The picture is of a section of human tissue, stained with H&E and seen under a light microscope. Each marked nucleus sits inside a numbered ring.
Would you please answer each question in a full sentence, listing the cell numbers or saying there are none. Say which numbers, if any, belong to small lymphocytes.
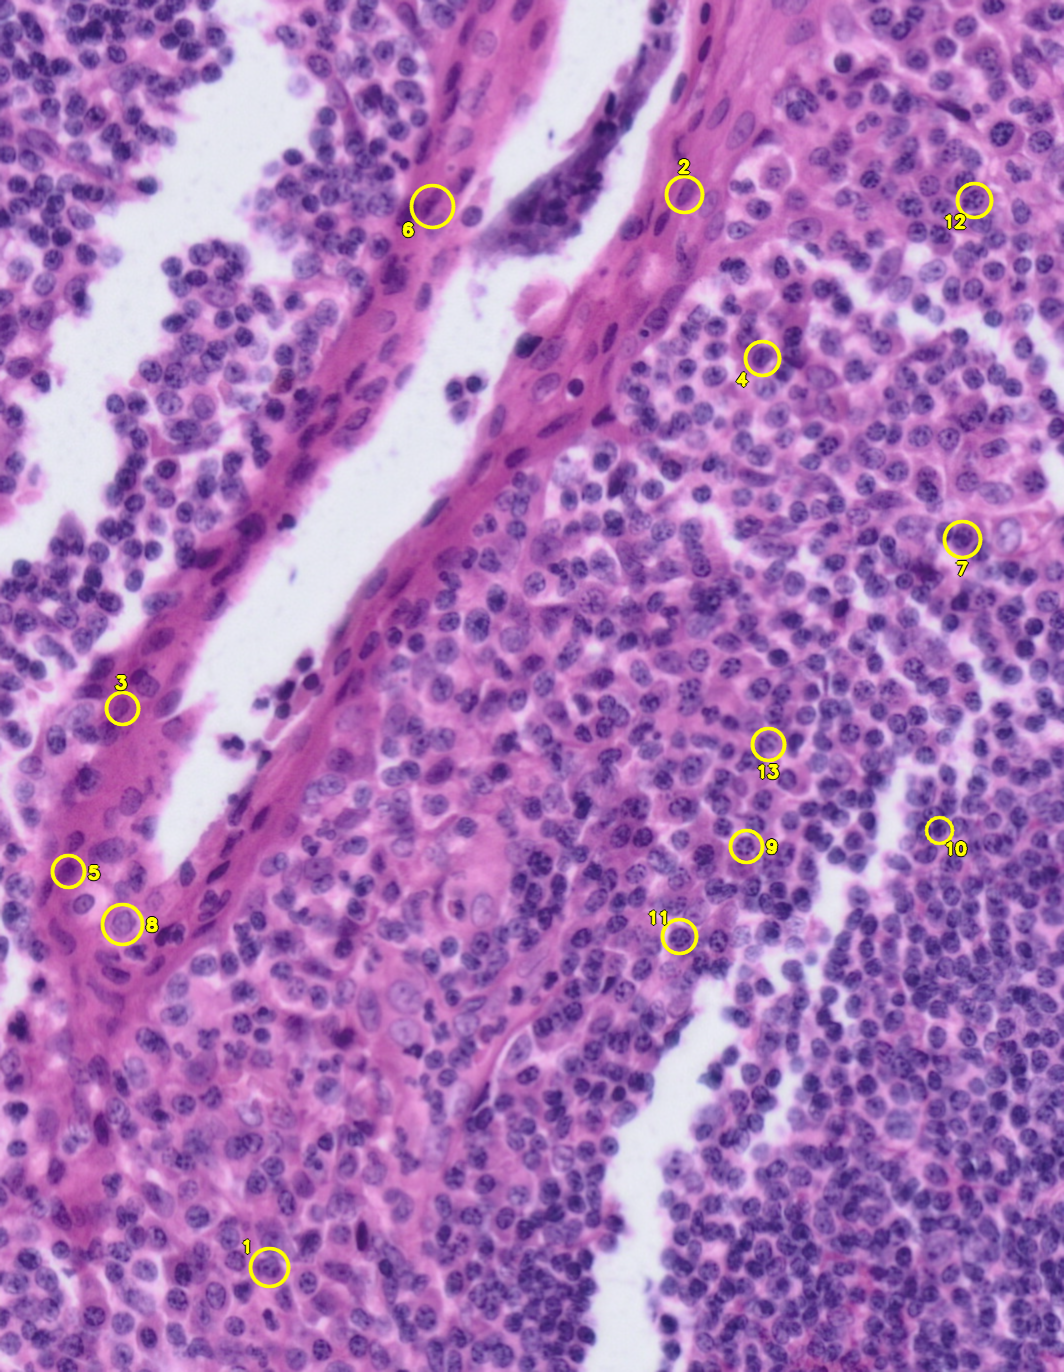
There is just one numbered cell that is a small lymphocyte, and it is cell 10.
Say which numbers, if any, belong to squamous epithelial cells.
The cells whose numbers are 2, 3, 5, 6 and 8 are squamous epithelial cells.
